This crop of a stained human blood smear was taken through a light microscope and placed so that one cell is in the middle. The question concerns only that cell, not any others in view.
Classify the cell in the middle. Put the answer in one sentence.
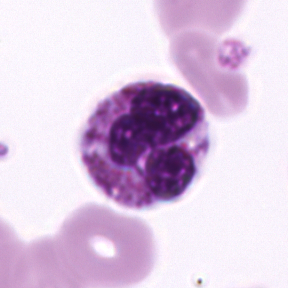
As for the central cell, it is an eosinophil.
